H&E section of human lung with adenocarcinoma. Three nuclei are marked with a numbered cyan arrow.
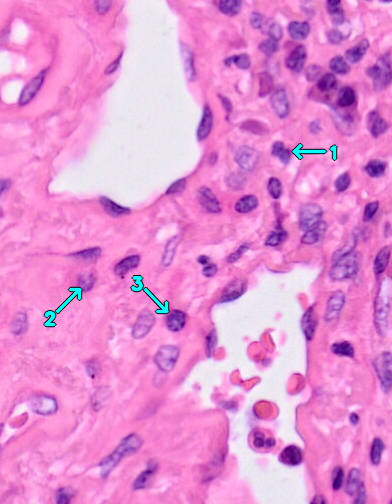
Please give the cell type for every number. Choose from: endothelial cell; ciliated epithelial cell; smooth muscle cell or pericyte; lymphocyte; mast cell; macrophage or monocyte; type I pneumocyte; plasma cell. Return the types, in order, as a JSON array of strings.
["lymphocyte", "mast cell", "mast cell"]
